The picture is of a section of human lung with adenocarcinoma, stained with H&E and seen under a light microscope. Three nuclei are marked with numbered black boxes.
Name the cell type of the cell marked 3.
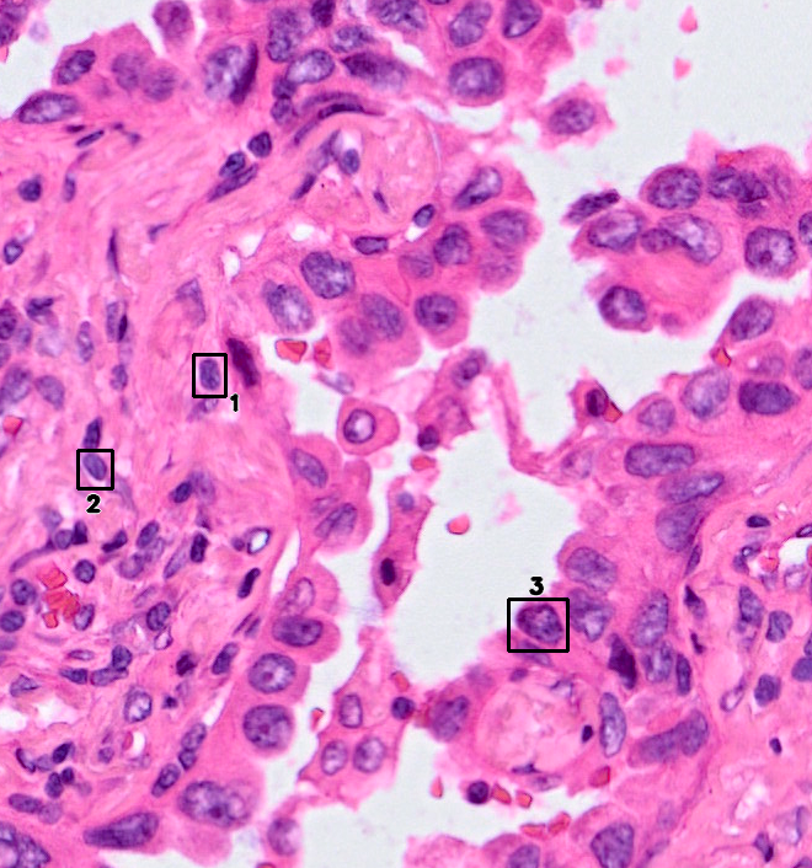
carcinoma cell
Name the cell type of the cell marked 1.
lymphocyte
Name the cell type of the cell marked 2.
lymphocyte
